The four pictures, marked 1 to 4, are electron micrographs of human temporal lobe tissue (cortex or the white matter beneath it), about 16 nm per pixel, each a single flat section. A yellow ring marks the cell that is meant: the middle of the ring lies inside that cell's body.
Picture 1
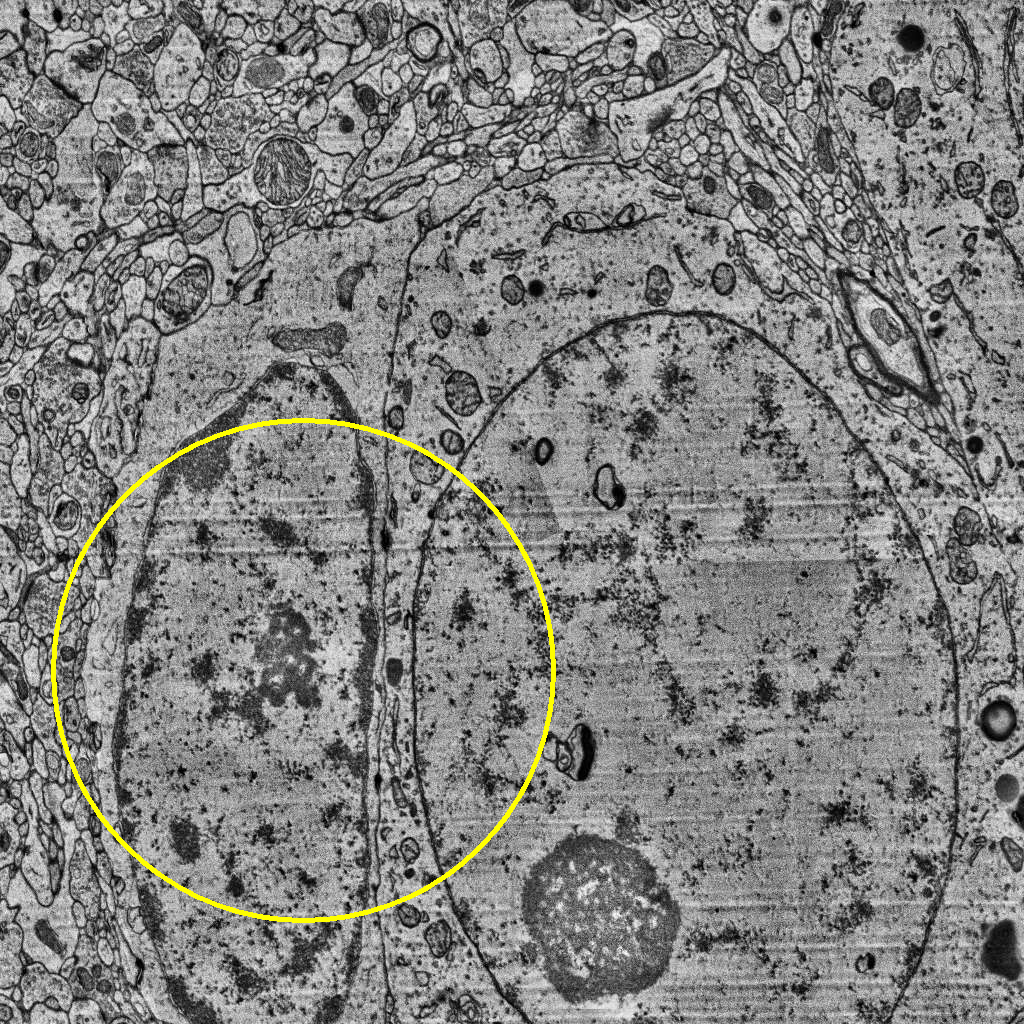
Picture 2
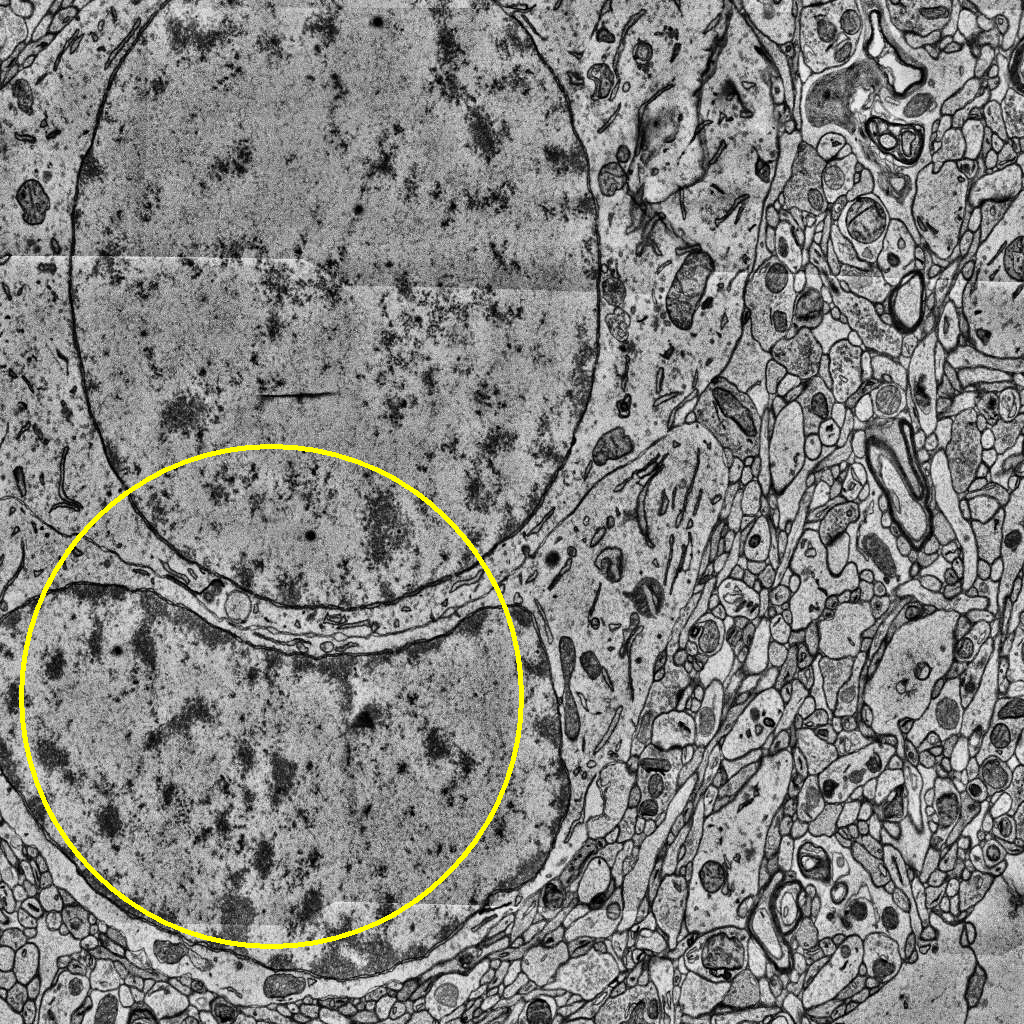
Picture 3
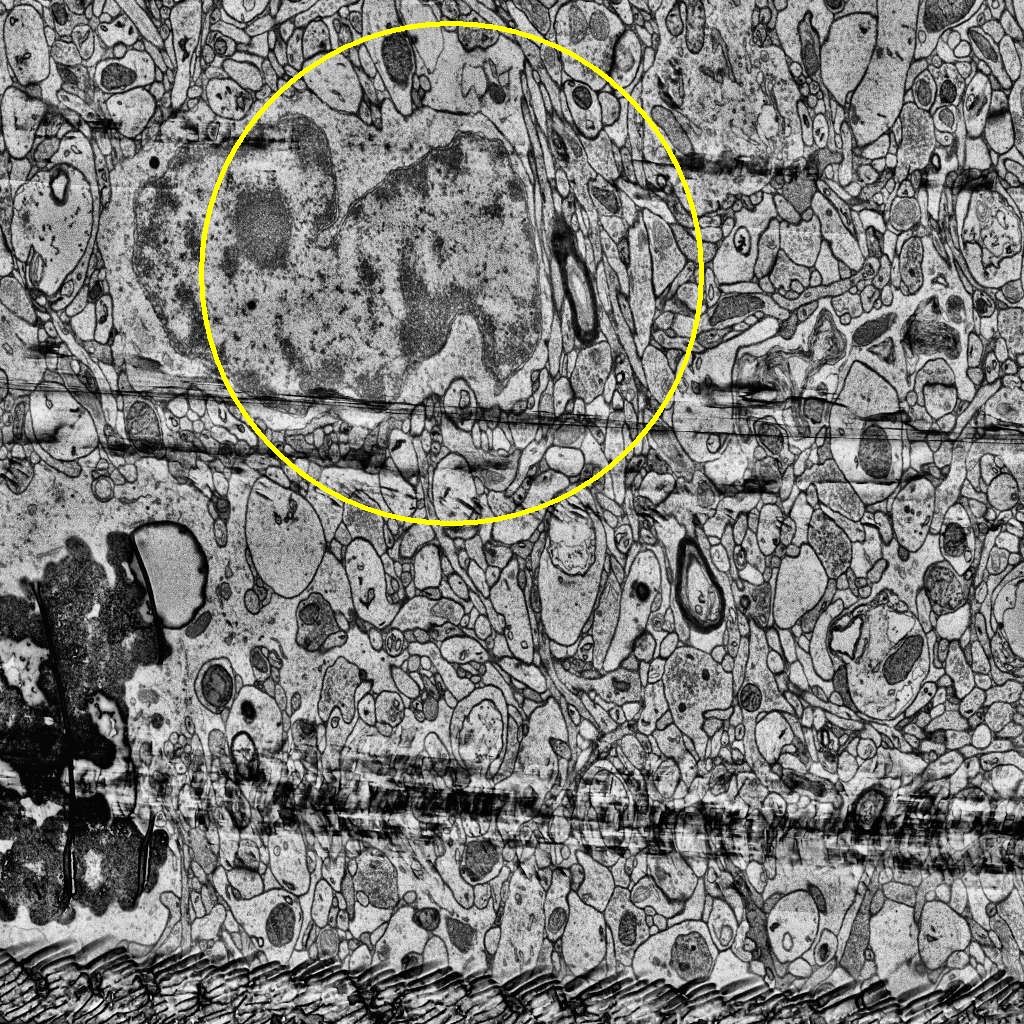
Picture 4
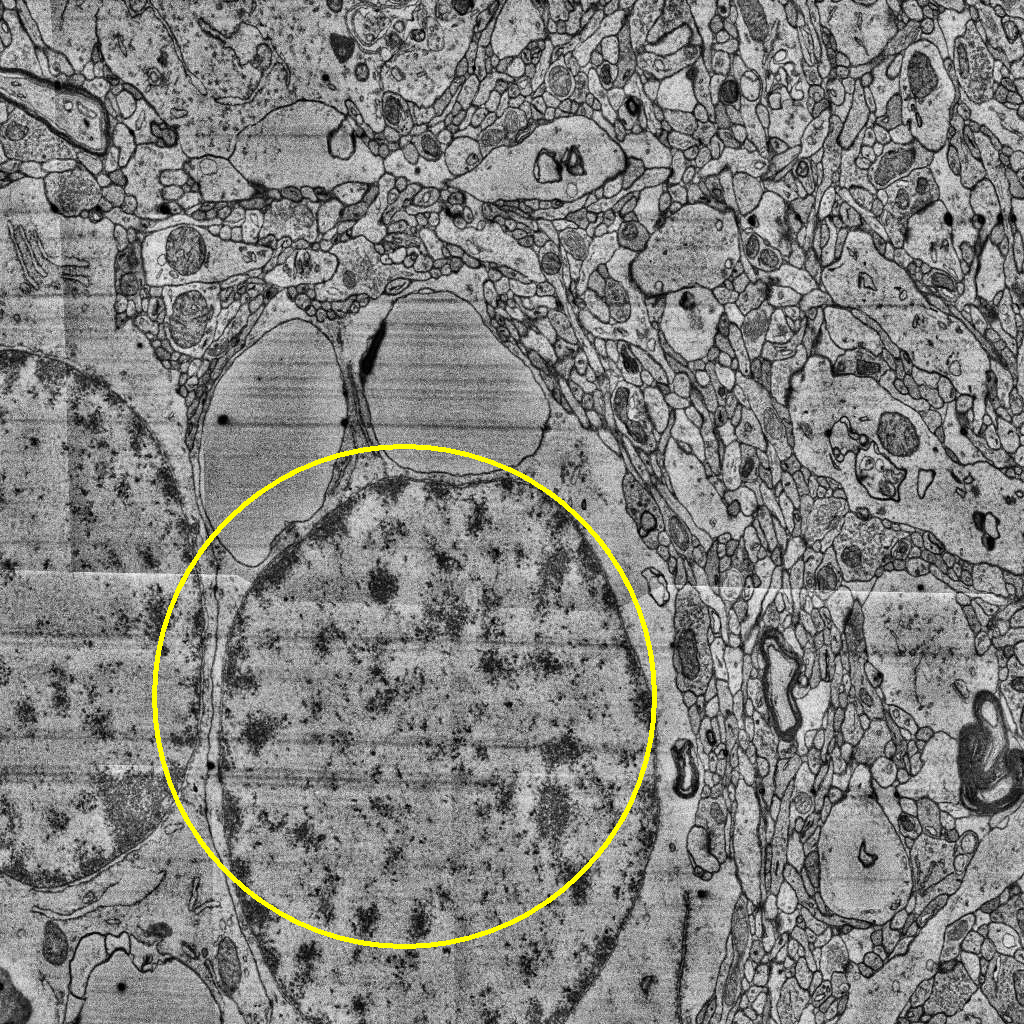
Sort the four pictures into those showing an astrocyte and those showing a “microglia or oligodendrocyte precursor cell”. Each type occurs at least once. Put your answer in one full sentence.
Picture 4 shows an astrocyte; pictures 1, 2 and 3 show “microglia or oligodendrocyte precursor cells”.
